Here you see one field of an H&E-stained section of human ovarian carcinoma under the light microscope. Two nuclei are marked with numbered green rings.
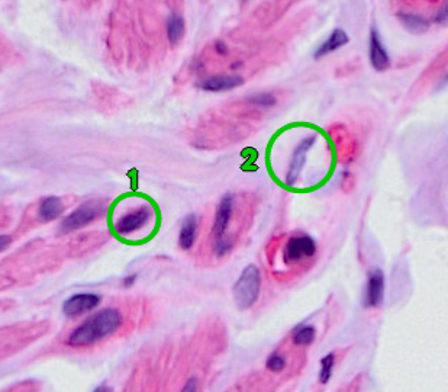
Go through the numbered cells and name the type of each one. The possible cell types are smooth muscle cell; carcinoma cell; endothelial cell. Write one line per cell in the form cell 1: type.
cell 1: smooth muscle cell
cell 2: endothelial cell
